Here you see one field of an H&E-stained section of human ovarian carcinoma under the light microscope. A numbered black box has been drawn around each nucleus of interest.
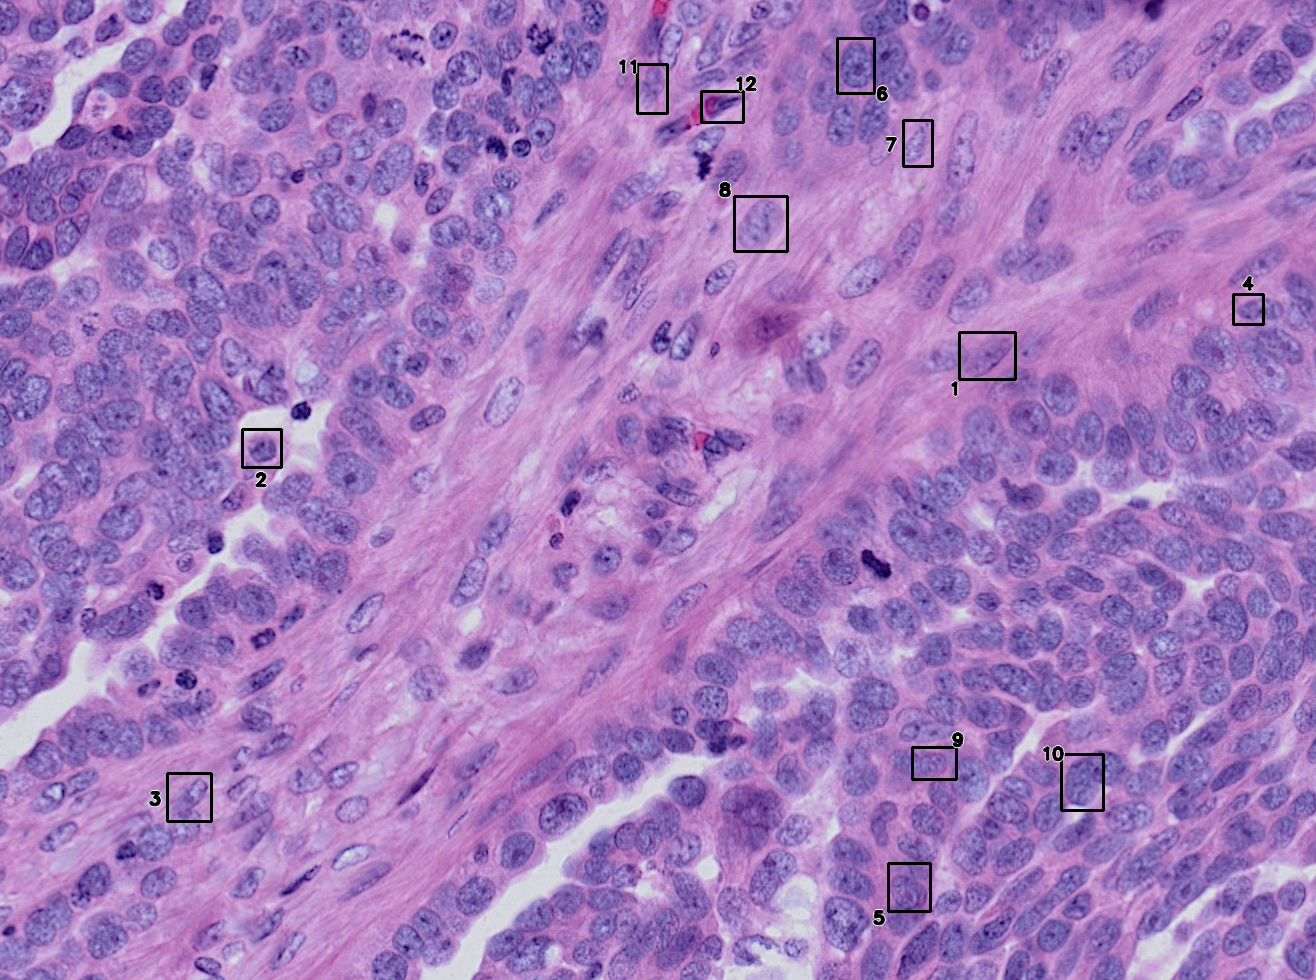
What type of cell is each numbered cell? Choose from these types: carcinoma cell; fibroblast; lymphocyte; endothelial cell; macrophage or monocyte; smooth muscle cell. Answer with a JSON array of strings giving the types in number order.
["fibroblast", "macrophage or monocyte", "fibroblast", "macrophage or monocyte", "carcinoma cell", "carcinoma cell", "fibroblast", "fibroblast", "carcinoma cell", "carcinoma cell", "endothelial cell", "endothelial cell"]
